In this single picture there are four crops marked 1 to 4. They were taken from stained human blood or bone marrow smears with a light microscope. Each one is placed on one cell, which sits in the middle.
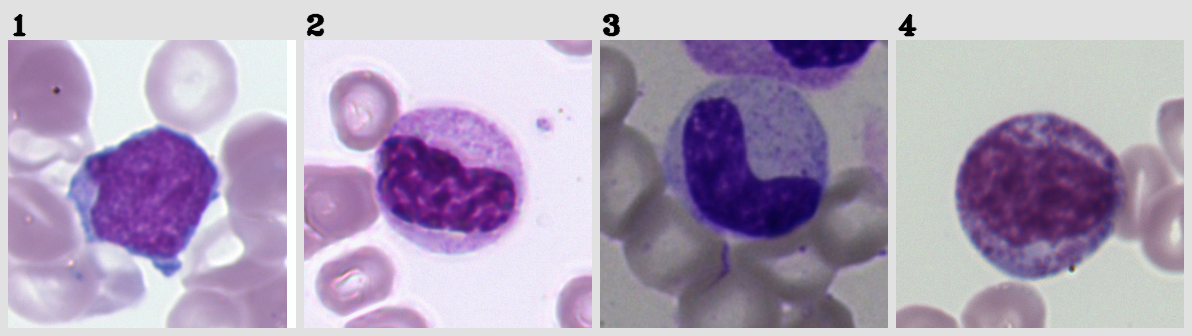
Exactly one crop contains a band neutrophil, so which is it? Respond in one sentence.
So the crop with a band neutrophil at its center is crop 3.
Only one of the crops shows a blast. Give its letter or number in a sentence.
On review of the set, crop 1 is the one showing a blast.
